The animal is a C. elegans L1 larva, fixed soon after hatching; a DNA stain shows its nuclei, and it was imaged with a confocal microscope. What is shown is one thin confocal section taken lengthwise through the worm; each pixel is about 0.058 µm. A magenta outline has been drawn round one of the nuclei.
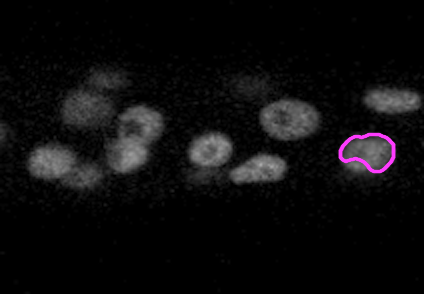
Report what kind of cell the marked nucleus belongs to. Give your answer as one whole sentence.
The nucleus comes from a seam cell.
